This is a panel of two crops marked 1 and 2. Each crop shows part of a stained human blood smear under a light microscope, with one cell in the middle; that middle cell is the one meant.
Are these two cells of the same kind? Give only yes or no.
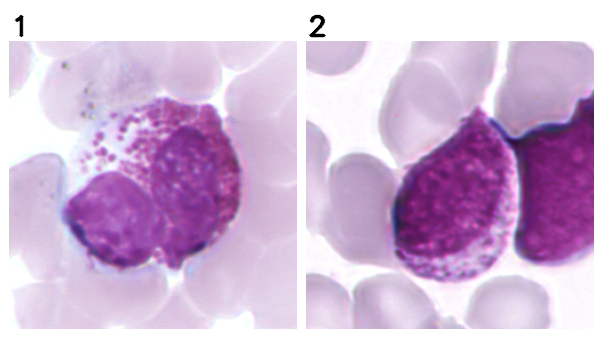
no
